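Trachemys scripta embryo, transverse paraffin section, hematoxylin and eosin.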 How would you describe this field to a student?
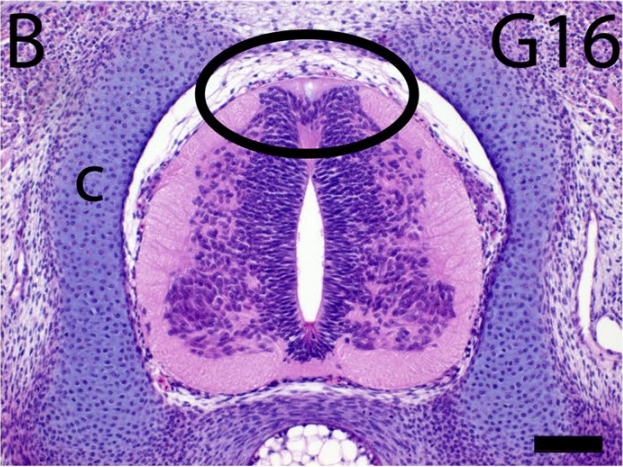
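A closed neural tube in cross-section has a narrow slit-like central lumen lined by densely packed purple neuroepithelial cells, with a pale pink outer zone around them. At the dorsal midline the roof plate bulges upward as two small folds of cells on either side of the midline. The tube is enclosed by pale blue-purple cartilage at the sides, with a vacuolated notochord at the bottom.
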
